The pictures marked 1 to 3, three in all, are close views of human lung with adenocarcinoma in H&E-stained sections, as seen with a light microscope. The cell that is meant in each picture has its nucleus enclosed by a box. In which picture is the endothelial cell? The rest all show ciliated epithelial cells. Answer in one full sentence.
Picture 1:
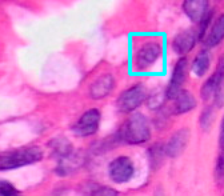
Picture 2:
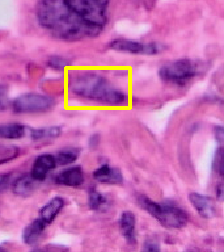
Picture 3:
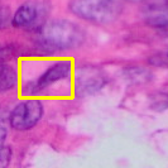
It is picture 2 that shows the endothelial cell.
